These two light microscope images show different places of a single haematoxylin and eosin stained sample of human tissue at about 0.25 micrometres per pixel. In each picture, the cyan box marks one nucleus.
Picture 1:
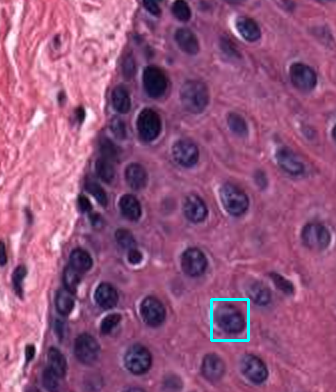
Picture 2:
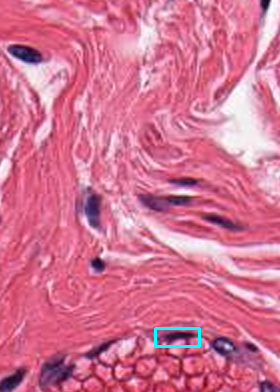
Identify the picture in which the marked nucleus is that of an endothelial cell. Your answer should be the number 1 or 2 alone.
2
